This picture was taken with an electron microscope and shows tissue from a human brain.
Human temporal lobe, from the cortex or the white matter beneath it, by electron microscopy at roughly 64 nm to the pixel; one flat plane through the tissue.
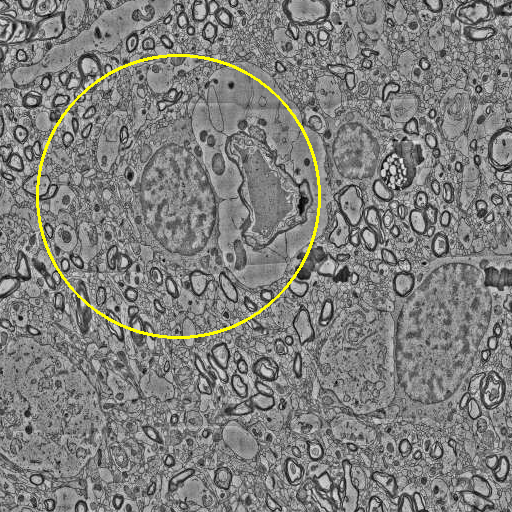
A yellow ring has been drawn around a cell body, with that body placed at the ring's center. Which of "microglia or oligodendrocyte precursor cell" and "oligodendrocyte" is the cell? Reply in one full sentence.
In this picture, an oligodendrocyte is the cell at the center of the yellow ring.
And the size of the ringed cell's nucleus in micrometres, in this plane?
In this plane, the nucleus is roughly 7 by 5 micrometres.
